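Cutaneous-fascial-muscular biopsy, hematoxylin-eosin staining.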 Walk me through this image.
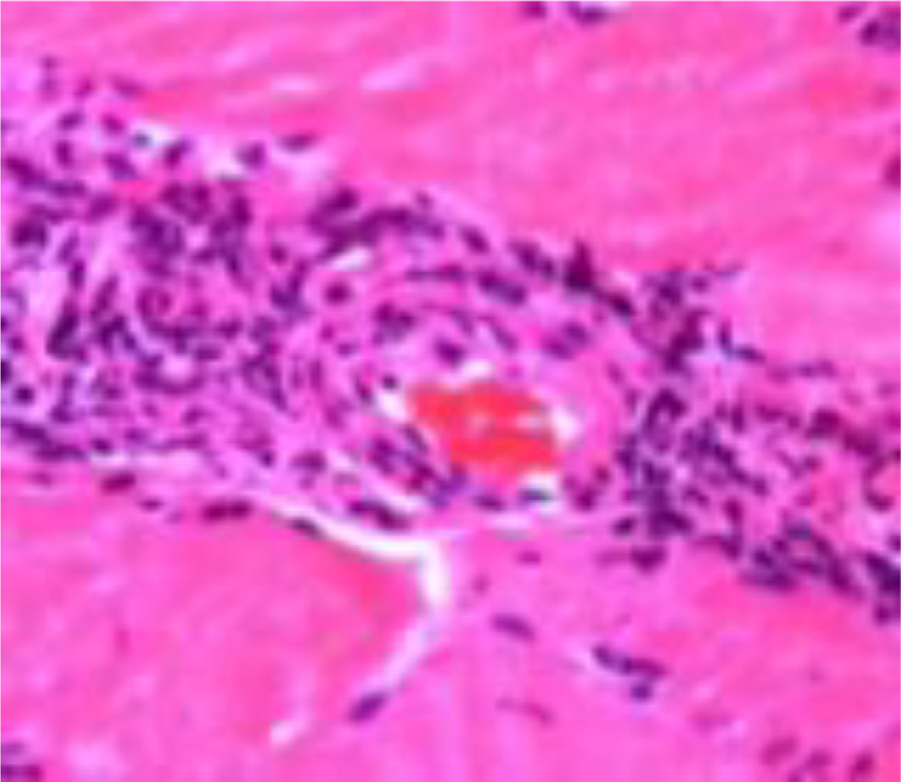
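In this stained section, a dense infiltrate of inflammatory cells, mostly lymphocytes, surrounds a small blood vessel. The vessel lies in the middle, and its lumen is filled with bright red blood cells.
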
